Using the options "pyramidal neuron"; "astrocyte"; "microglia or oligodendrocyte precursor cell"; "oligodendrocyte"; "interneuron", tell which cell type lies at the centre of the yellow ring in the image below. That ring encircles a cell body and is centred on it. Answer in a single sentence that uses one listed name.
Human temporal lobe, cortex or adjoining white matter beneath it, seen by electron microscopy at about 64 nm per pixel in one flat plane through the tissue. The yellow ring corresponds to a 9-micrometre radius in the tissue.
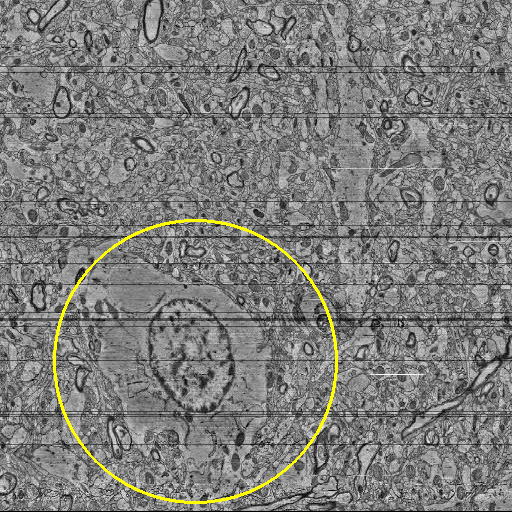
At the centre of the yellow ring lies the body of an astrocyte.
